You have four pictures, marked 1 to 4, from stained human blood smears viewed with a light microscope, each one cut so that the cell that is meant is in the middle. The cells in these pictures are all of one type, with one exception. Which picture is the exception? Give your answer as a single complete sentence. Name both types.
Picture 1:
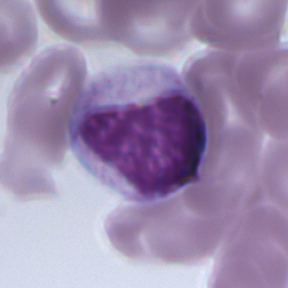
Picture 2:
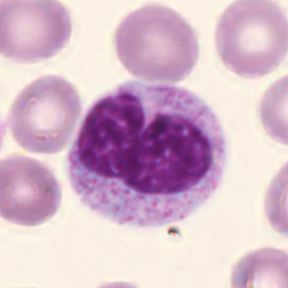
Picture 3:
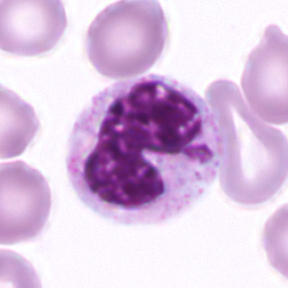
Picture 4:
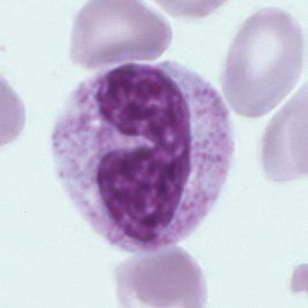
Unlike the rest, which show band neutrophils, picture 1 shows a metamyelocyte.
